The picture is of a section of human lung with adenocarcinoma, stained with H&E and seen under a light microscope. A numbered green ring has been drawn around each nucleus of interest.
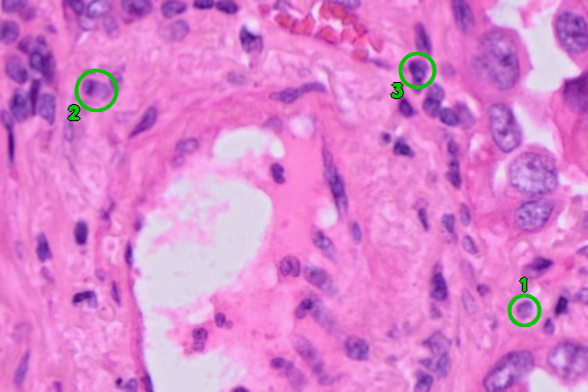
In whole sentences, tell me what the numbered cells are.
Cells 1 and 3 are lymphocytes. Cell 2 is a plasma cell.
